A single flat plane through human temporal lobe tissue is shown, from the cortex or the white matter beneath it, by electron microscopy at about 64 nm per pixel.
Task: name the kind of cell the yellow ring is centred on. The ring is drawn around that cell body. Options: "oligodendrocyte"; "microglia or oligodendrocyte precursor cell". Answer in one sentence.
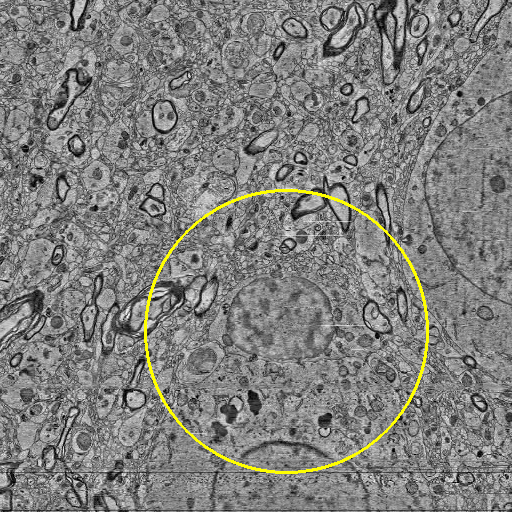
This cell body belongs to an oligodendrocyte.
